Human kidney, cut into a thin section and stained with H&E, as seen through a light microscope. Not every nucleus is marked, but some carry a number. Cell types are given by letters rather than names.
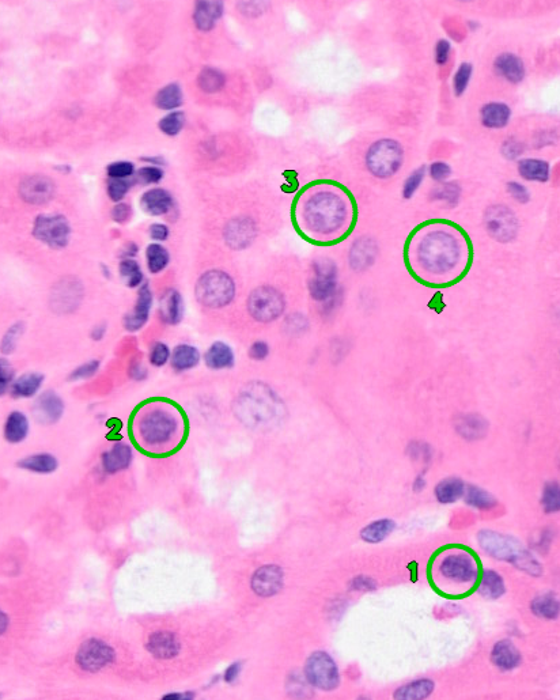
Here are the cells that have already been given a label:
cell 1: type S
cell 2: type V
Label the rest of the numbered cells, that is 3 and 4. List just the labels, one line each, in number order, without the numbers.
type V
type V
